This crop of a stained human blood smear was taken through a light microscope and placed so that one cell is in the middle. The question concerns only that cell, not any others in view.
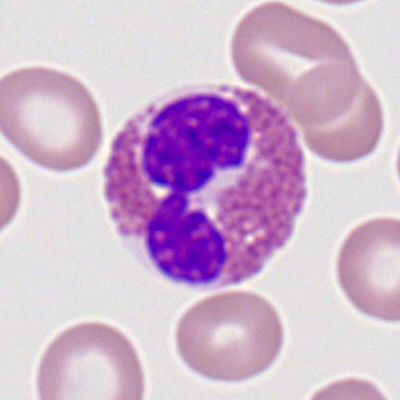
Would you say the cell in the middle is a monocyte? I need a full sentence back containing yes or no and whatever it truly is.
No, looking at the central cell, it is an eosinophil rather than a monocyte.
